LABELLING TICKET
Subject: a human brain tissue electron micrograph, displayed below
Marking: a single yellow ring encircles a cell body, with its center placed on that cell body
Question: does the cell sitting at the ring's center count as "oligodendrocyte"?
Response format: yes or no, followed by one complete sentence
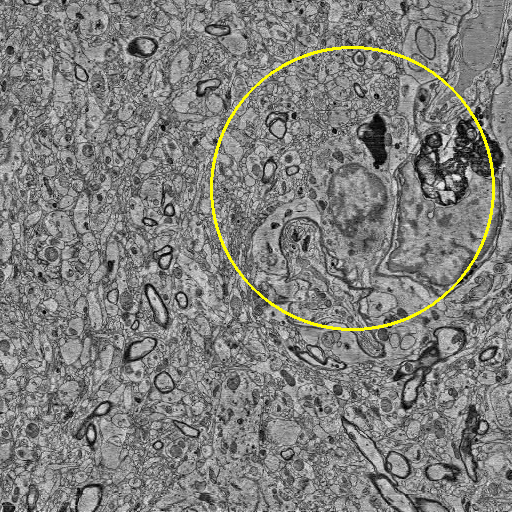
Yes, the cell at the center of the ring in the picture is of that kind.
